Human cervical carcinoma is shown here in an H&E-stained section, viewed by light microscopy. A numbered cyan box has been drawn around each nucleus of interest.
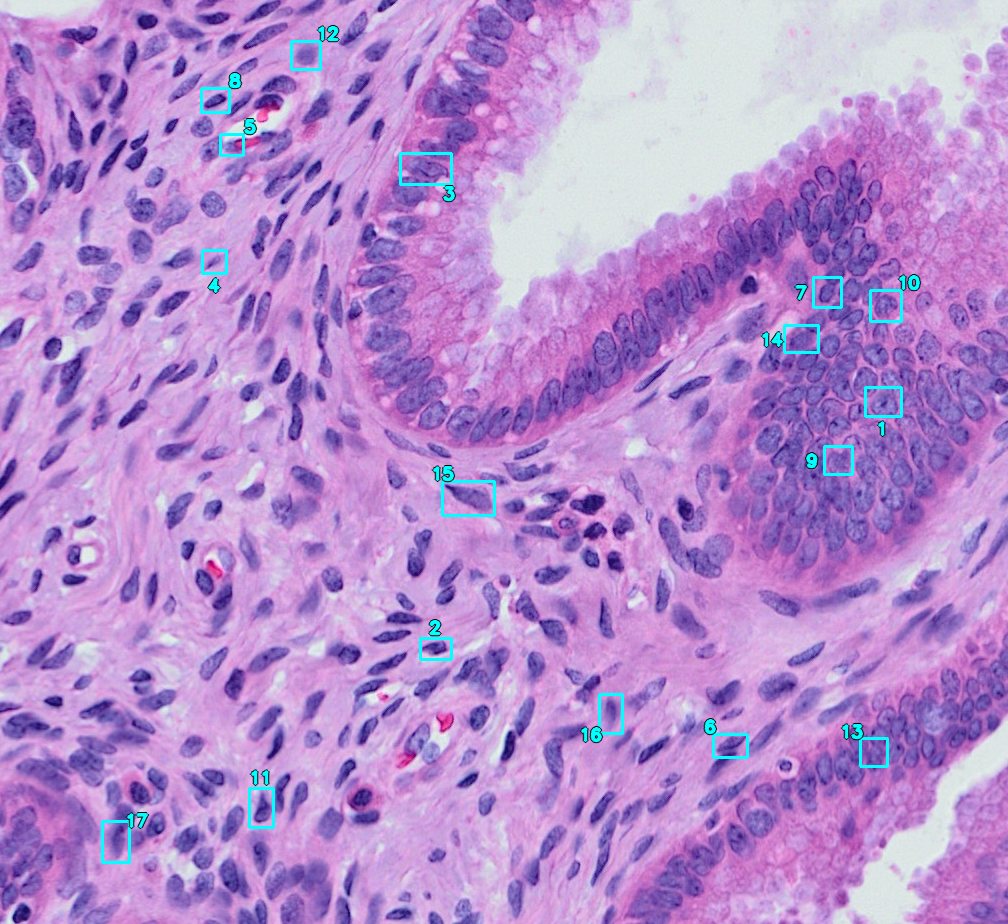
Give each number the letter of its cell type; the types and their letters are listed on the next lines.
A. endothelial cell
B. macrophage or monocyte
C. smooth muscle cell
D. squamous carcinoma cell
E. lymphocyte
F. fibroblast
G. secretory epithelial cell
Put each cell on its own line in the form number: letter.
1: G
2: F
3: G
4: F
5: A
6: F
7: G
8: F
9: G
10: G
11: F
12: F
13: G
14: G
15: F
16: F
17: F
